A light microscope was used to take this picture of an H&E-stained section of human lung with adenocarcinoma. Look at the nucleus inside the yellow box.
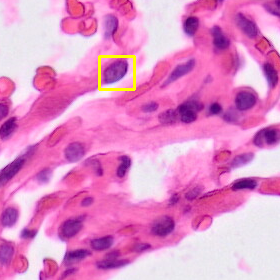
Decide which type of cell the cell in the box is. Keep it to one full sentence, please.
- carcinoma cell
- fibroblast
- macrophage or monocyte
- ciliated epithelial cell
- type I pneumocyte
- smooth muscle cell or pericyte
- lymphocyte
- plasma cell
In this section of tissue, the cell in the box is a type I pneumocyte.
